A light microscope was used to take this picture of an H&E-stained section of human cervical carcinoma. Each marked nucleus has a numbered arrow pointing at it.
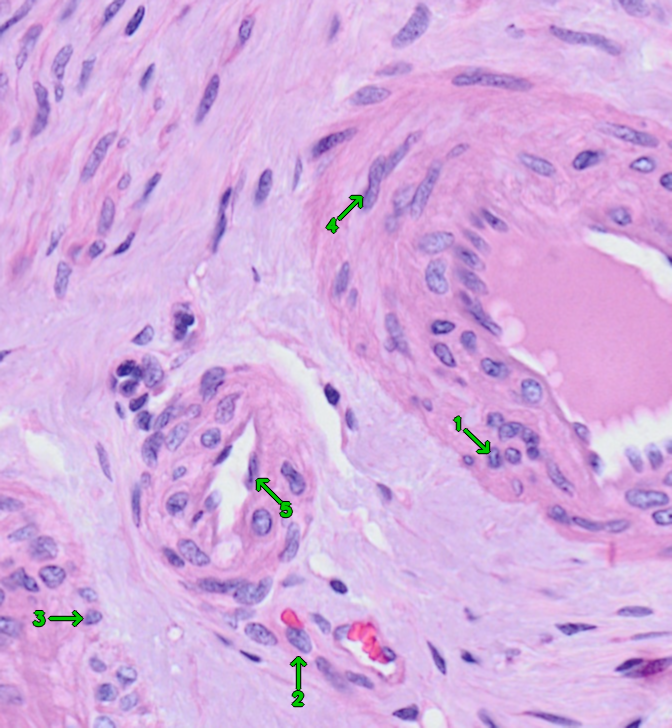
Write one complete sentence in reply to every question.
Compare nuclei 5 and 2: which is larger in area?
Number 2 is larger; its area is about 1.5 times that of number 5.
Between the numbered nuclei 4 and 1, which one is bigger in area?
The larger nucleus is 4, at roughly 2.5 times the area of 1.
